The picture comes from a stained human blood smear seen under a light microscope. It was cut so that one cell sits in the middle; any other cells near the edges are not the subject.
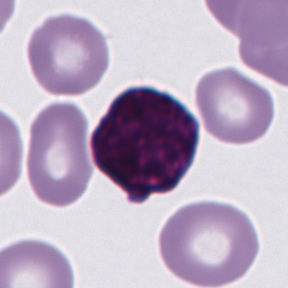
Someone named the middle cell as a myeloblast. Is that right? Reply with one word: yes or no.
yes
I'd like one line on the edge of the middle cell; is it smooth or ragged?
An uneven margin is present, with either ragged stretches or outward projections.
